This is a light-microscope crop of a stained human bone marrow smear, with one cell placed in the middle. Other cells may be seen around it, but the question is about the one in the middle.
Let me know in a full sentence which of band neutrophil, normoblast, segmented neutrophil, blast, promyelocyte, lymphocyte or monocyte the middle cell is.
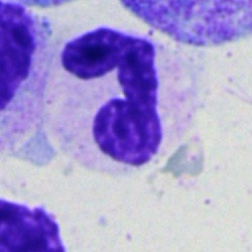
In the crop, the cell of interest at the centre is a band neutrophil.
